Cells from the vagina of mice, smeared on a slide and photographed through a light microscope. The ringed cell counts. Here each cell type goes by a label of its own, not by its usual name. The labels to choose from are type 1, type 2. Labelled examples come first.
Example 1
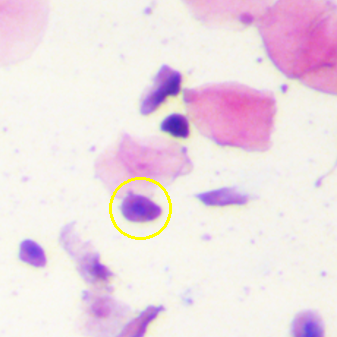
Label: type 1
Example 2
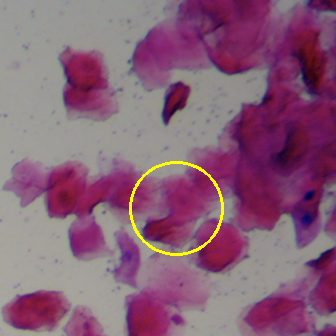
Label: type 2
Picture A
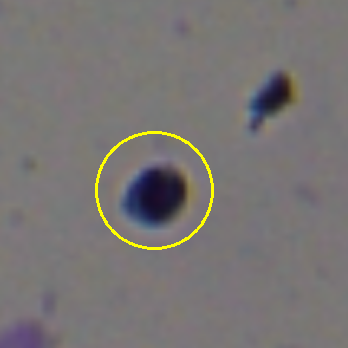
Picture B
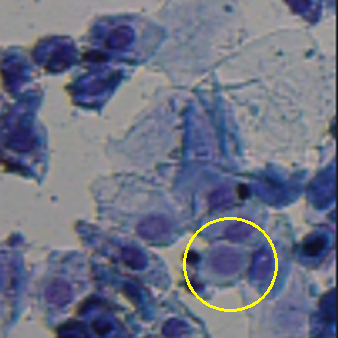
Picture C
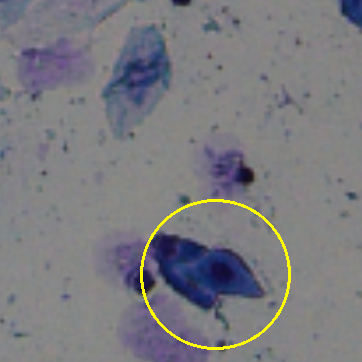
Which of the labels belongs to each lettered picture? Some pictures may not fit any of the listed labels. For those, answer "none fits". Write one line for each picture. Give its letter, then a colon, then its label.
A: none fits
B: type 1
C: type 1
